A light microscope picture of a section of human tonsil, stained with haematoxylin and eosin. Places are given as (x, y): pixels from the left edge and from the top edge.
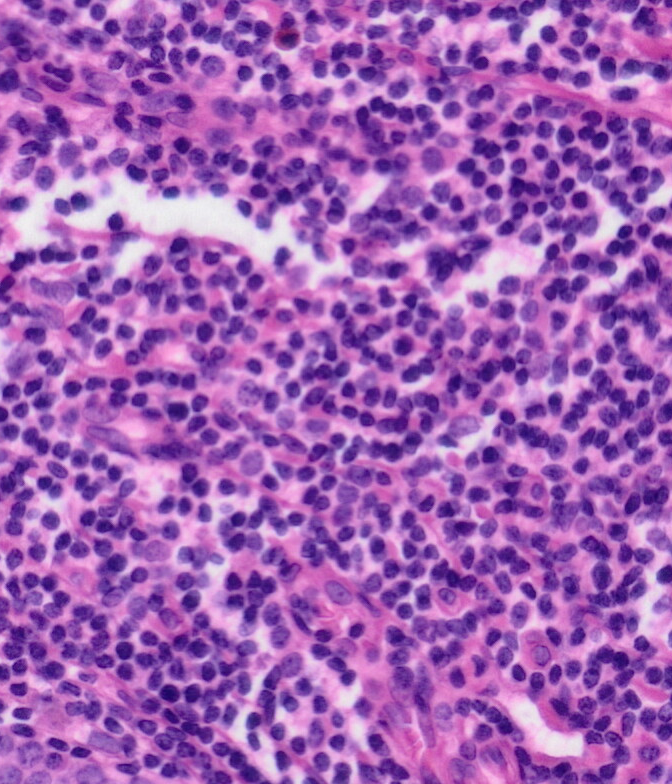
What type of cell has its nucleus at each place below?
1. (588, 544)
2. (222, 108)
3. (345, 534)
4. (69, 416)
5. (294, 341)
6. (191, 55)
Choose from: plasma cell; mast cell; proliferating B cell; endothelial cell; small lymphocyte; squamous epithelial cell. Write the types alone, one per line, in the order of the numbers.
small lymphocyte
endothelial cell
small lymphocyte
endothelial cell
small lymphocyte
small lymphocyte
